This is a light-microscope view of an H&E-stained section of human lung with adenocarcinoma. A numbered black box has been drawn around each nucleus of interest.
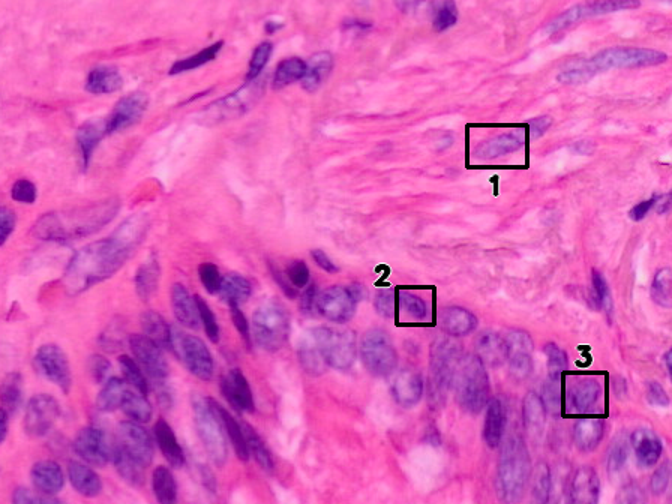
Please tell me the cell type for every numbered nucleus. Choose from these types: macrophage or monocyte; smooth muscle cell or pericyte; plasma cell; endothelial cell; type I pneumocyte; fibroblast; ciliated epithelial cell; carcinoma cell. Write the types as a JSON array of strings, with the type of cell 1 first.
["smooth muscle cell or pericyte", "ciliated epithelial cell", "ciliated epithelial cell"]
